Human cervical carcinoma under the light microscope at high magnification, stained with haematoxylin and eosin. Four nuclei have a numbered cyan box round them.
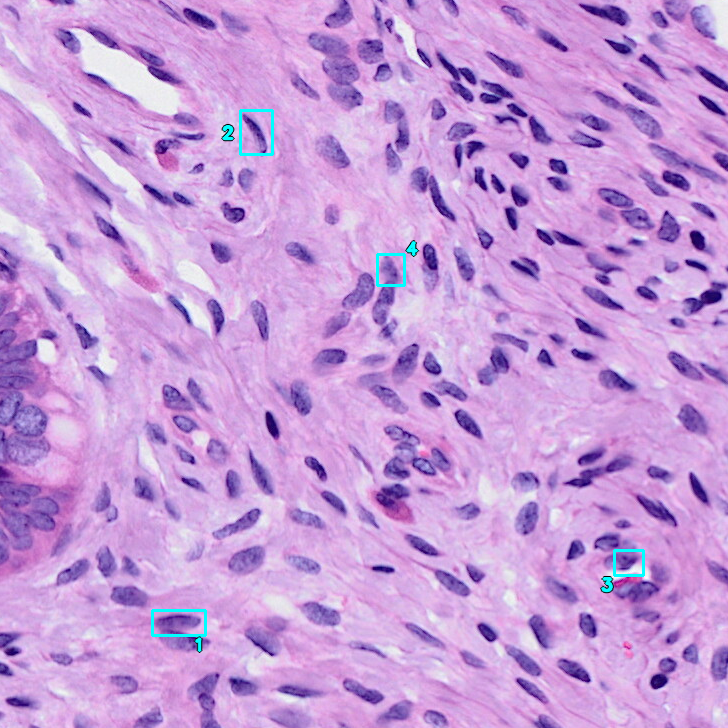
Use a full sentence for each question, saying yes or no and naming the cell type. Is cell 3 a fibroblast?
No. Cell number 3 is an endothelial cell, not a fibroblast.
